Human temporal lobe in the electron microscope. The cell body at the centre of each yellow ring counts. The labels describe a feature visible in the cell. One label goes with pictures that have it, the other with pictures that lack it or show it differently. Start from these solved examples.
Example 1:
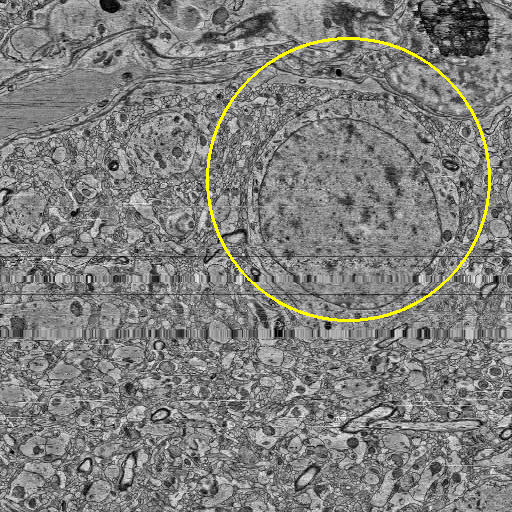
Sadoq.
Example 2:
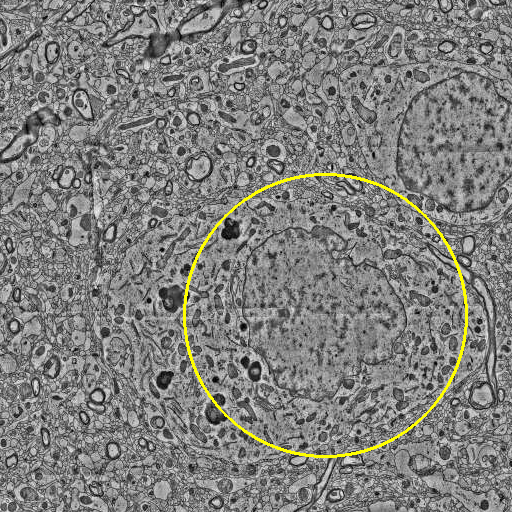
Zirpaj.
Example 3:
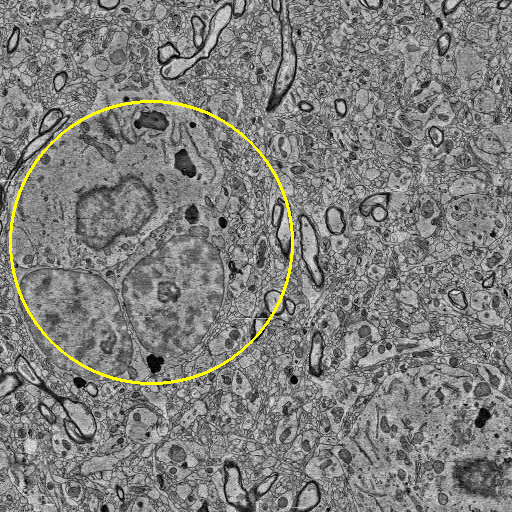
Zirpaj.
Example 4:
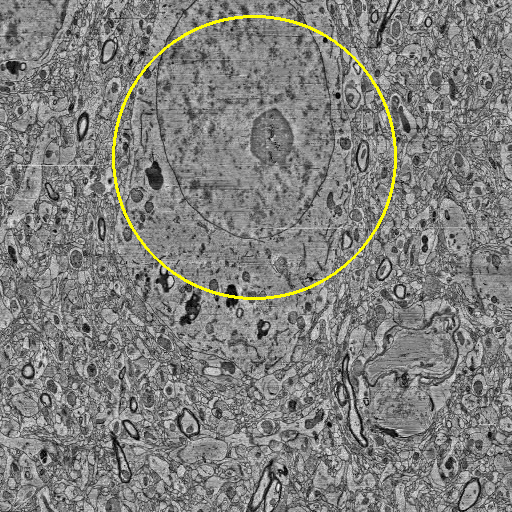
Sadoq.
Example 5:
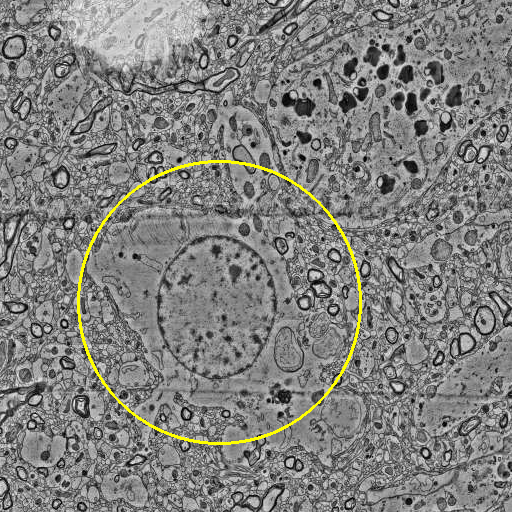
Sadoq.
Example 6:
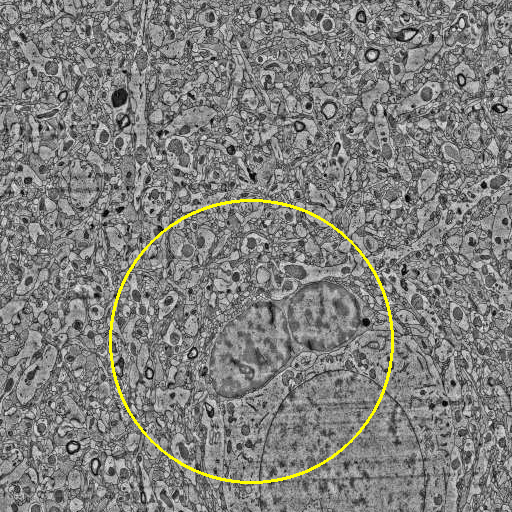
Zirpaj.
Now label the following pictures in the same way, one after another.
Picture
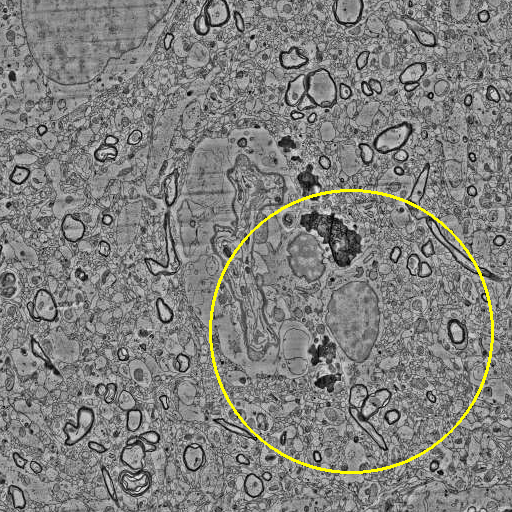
Sadoq.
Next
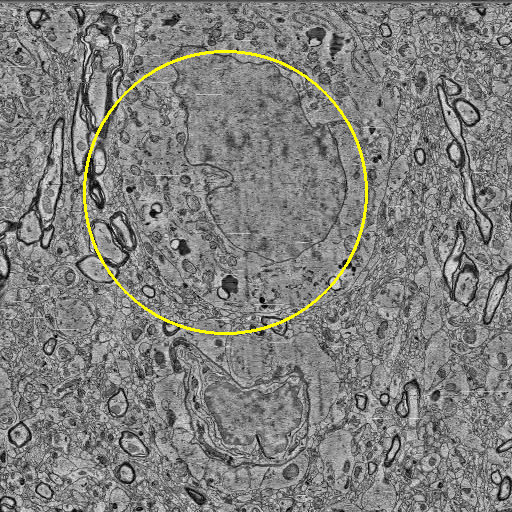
Zirpaj.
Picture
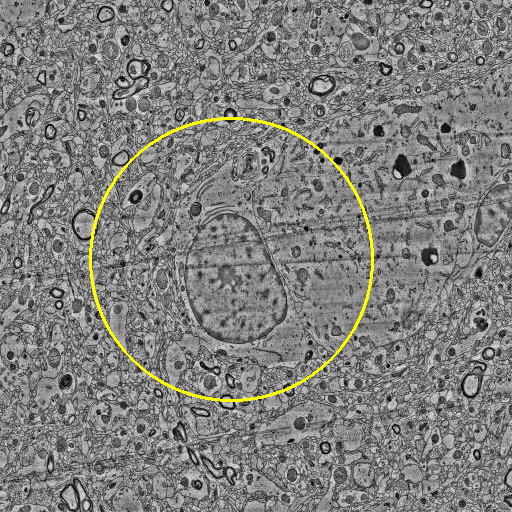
Sadoq.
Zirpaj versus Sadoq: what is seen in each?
Zirpaj, deeply folded or indented nuclear envelopes; Sadoq, smooth nuclear envelopes without deep folds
